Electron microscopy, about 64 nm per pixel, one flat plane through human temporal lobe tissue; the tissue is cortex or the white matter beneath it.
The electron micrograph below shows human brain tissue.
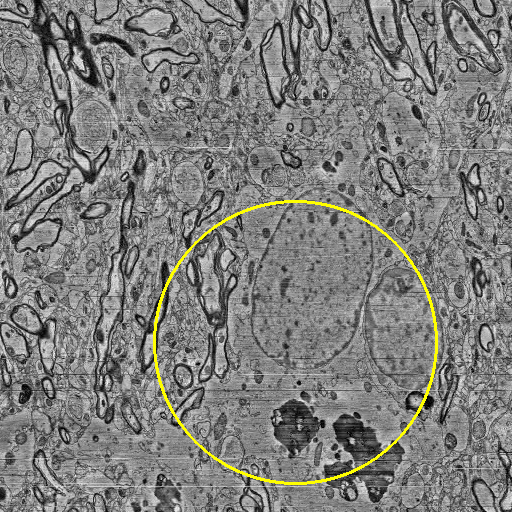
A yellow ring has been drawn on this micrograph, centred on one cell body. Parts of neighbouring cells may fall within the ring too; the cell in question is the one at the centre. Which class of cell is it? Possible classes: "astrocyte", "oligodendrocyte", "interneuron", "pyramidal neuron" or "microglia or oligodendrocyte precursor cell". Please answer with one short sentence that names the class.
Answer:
In the centre of the ring sits an astrocyte.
